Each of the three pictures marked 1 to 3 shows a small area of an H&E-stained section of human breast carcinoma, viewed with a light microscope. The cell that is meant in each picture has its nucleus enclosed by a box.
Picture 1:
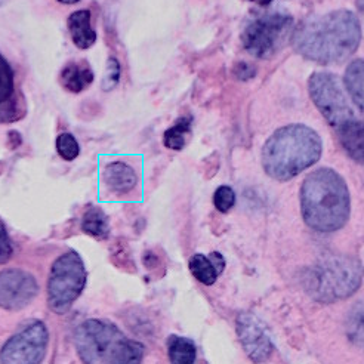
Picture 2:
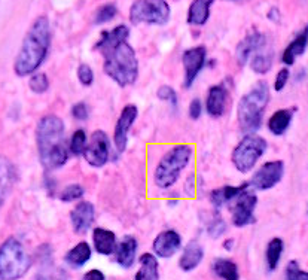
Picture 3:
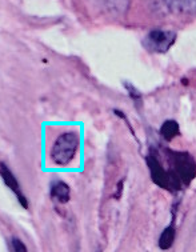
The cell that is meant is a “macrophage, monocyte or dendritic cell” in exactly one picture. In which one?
1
